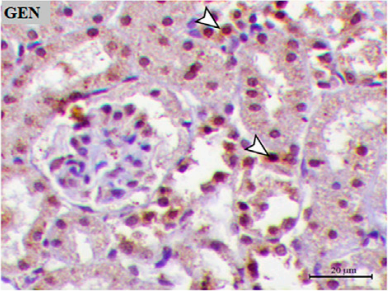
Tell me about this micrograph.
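Renal cortex with a glomerulus surrounded by tubules lined by cuboidal epithelial cells. The tubular cells carry dense brown granular staining through the cytoplasm, and many of their nuclei are dark brown instead of blue. Some tubular lumina are widened and contain loose pale debris.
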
